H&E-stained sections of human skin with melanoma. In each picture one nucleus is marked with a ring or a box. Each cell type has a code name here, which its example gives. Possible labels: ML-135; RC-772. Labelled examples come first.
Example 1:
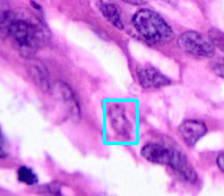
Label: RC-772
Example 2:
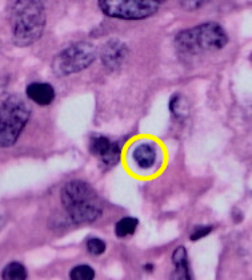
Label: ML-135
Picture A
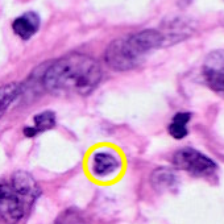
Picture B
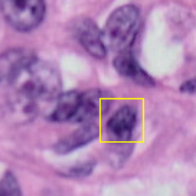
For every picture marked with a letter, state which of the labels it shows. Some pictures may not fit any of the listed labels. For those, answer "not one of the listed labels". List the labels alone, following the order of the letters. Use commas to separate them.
ML-135, RC-772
